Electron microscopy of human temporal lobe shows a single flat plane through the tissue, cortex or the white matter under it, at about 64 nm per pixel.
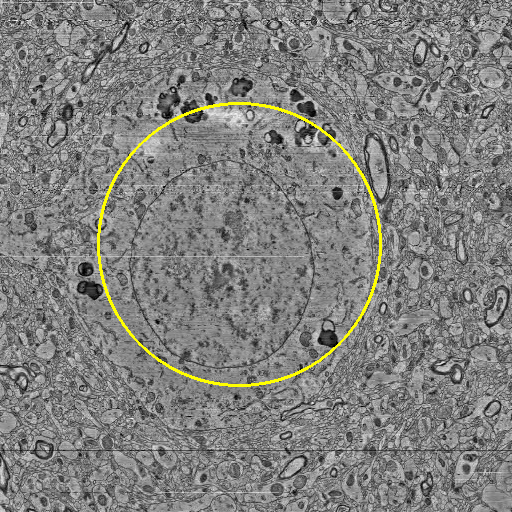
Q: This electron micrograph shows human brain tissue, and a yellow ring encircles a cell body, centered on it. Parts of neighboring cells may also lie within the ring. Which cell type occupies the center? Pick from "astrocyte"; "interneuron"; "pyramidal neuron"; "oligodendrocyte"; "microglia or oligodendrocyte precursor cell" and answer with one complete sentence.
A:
What sits at the ring's center in this micrograph is a pyramidal neuron, among those choices.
